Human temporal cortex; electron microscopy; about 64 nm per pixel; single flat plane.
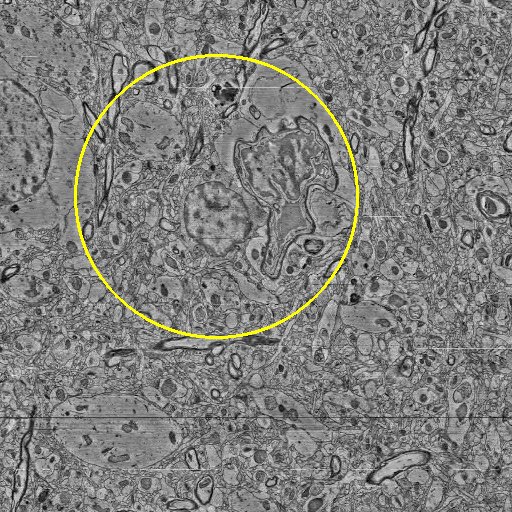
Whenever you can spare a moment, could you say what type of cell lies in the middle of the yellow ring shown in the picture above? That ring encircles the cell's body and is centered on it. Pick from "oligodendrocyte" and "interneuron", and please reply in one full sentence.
The cell whose body sits at the middle of the yellow ring is an oligodendrocyte.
